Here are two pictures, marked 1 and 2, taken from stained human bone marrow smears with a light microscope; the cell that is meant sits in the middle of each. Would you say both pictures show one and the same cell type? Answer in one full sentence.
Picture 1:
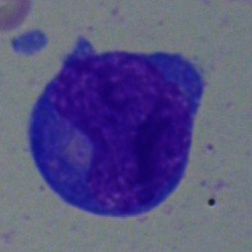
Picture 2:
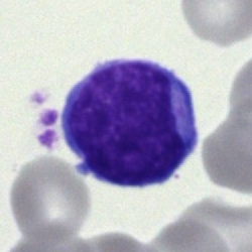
Yes; the cells in both pictures are blasts.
